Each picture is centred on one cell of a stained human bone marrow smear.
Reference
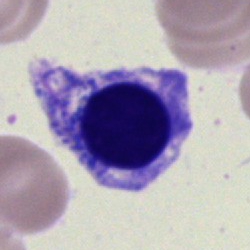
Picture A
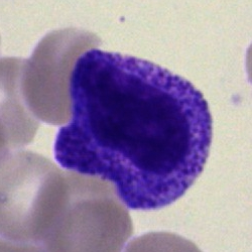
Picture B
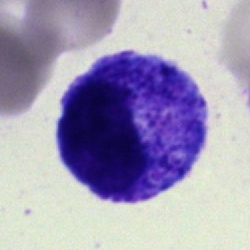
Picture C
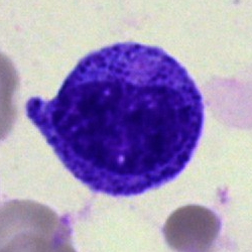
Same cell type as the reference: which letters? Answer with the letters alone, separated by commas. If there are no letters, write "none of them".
none of them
